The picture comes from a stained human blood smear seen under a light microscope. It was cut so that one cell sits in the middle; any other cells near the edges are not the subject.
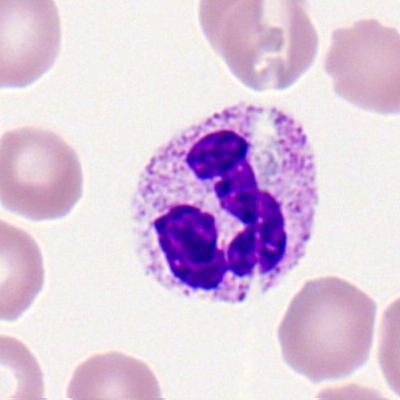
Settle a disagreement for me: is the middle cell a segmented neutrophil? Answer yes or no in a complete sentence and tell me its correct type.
Yes, the middle cell in this crop is a segmented neutrophil.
